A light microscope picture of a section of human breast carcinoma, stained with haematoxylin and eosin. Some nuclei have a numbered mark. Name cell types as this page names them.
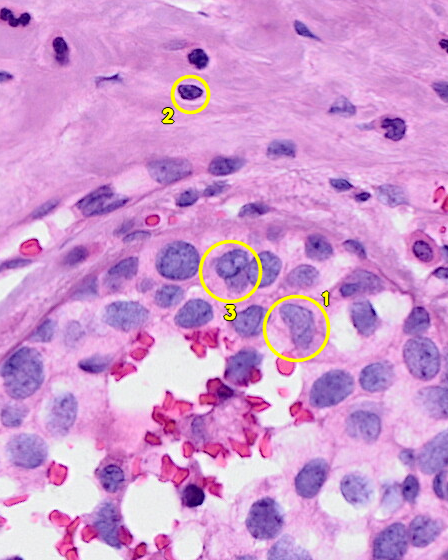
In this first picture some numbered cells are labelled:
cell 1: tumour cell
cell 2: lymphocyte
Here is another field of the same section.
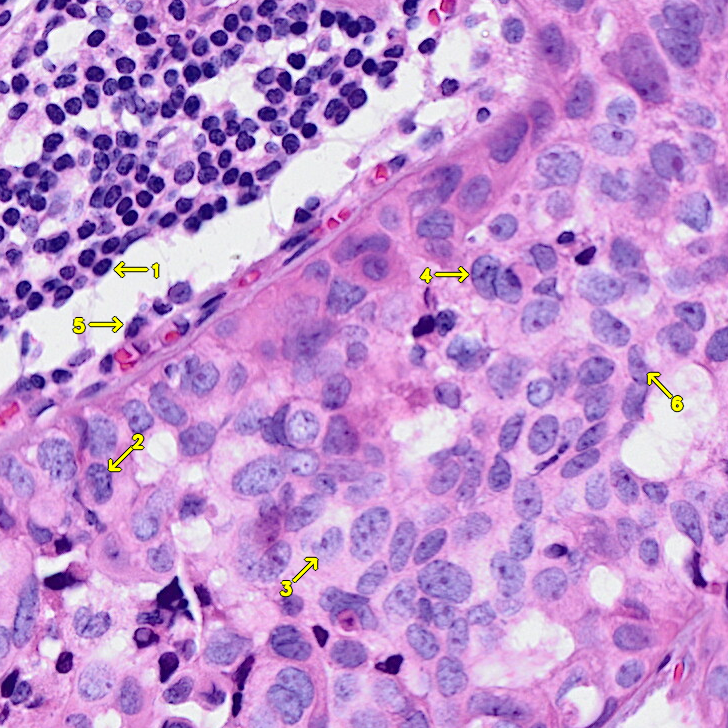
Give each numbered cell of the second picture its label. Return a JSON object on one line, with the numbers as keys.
{"1": "lymphocyte", "2": "tumour cell", "3": "tumour cell", "4": "tumour cell", "5": "lymphocyte", "6": "tumour cell"}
